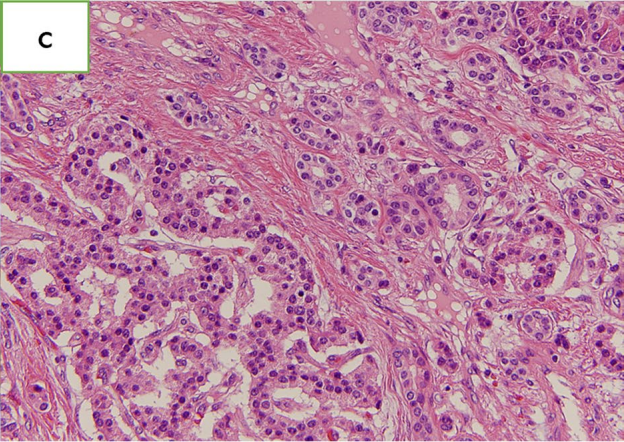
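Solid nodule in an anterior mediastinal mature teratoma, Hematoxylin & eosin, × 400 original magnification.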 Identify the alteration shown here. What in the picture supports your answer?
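Cord-shaped, ribbon-shaped, and cobblestone-shaped tumor cells. Cells are arranged in narrow cords and ribbons. Cell groups are separated by pink fibrous stroma. Cells are closely packed with round nuclei of similar size.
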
